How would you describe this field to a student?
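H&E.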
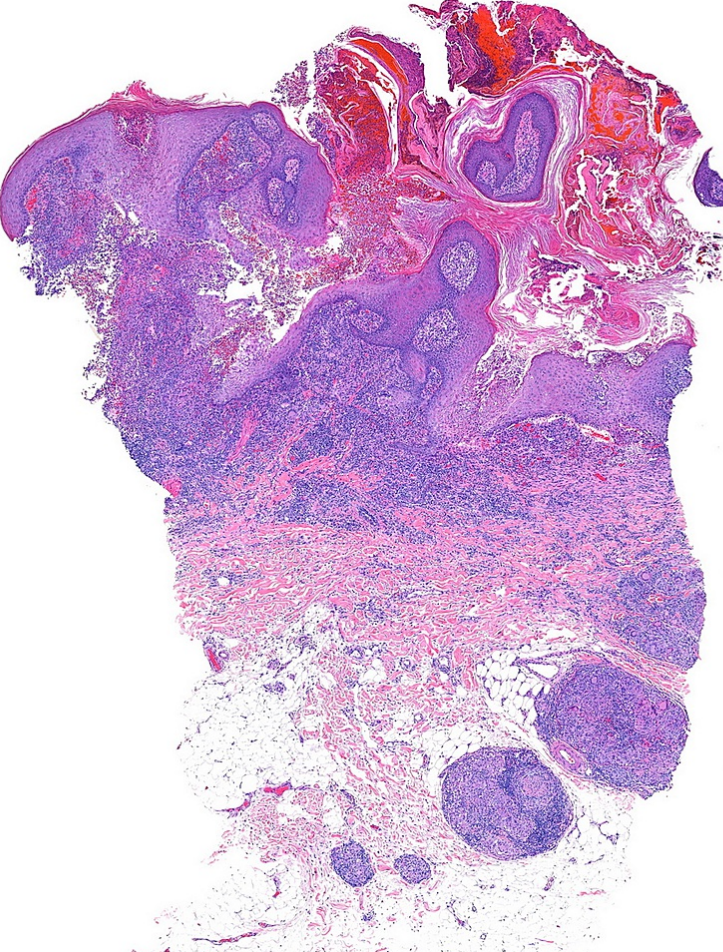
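This low-power section of skin shows a thickened, warty epidermis above a dermis filled with a nodular infiltrate. The epidermis is markedly hyperplastic, with irregular, broad tongues of squamous epithelium extending down into the dermis and a papillary, undulating surface. Thick layers of compact pink keratin mixed with red blood-tinged crust cover the surface. Beneath the epidermis the upper dermis is crowded with a dense purple cellular infiltrate, below which lies a band of pink collagen. In the deep dermis and the pale fat tissue below, several rounded, sharply bordered purple nodules of varying size are scattered.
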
